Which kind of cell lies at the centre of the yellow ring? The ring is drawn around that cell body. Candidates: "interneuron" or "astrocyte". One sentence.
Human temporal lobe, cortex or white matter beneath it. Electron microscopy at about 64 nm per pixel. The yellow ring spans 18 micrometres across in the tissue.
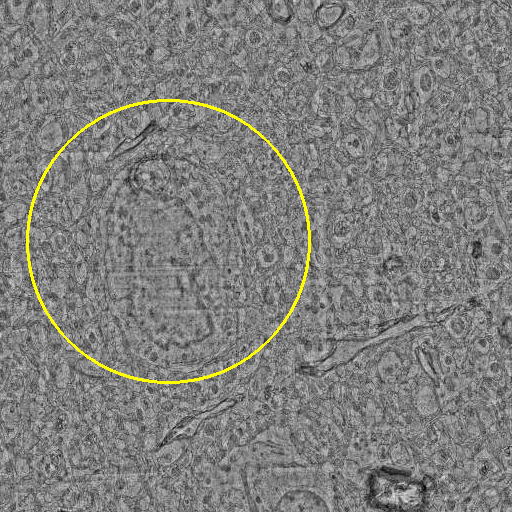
Lying at the centre of the ring is an interneuron.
